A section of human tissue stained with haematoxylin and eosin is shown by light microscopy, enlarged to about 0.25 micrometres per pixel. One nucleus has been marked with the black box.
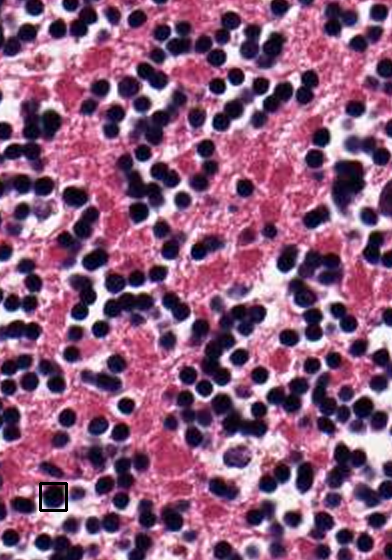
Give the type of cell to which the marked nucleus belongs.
cerebellar granule cell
